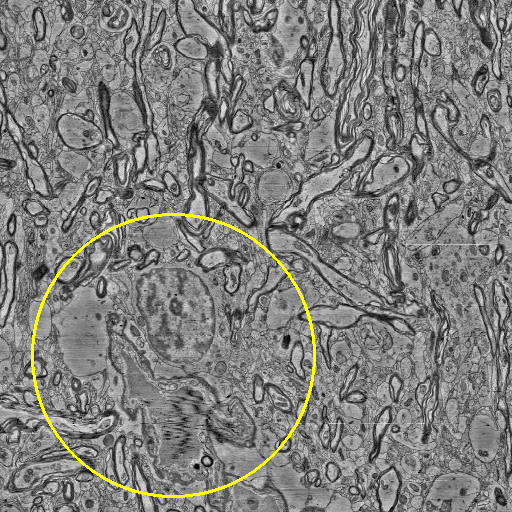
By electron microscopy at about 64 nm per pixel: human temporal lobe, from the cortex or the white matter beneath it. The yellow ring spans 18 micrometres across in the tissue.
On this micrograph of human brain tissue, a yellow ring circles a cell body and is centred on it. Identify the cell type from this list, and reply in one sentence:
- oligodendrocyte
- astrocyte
The cell at the centre is an oligodendrocyte.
